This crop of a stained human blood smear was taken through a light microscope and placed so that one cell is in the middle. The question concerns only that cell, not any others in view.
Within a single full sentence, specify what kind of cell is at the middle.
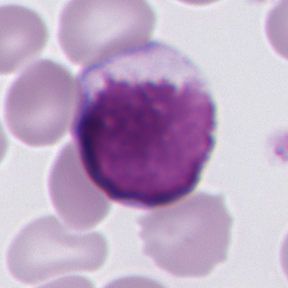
The single cell at the center of the crop is a large granular lymphocyte.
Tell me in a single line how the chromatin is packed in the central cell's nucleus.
The chromatin is delicate and fine, lacking coarse clumping entirely.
